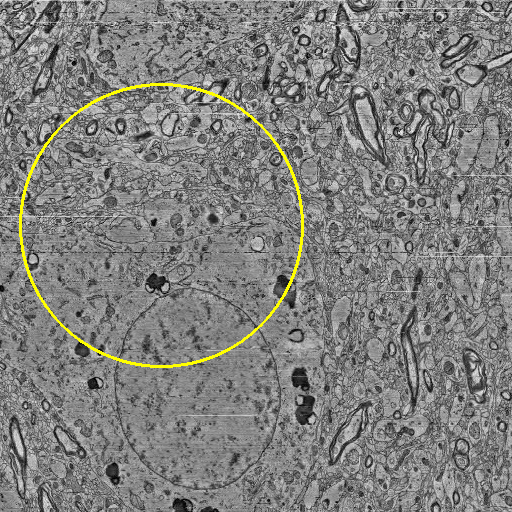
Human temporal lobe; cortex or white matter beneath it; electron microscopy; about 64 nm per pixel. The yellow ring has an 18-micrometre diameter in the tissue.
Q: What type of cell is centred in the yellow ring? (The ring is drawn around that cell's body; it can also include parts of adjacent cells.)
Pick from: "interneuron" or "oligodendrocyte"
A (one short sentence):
The yellow ring is centred on an oligodendrocyte.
